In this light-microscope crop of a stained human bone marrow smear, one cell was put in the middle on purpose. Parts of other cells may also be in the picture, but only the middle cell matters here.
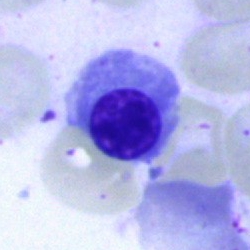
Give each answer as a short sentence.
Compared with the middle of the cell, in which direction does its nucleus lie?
The nucleus sits off-centre, toward the bottom.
